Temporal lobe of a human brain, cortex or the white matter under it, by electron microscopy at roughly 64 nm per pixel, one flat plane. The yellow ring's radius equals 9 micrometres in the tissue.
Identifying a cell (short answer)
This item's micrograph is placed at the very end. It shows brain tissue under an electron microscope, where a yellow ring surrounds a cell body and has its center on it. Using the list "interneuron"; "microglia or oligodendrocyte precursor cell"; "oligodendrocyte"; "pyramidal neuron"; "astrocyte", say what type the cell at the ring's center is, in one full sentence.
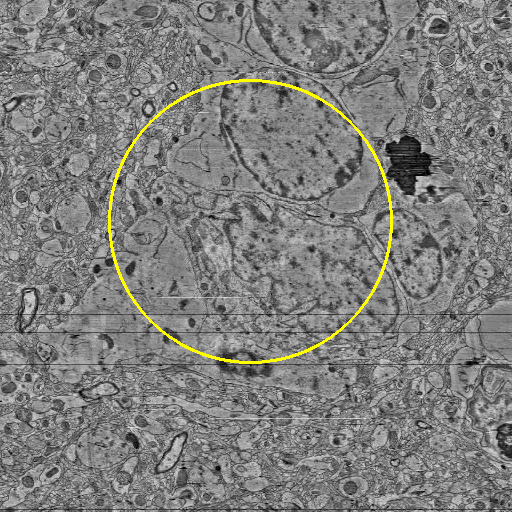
This picture shows an interneuron at the center of the yellow ring drawn on it.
